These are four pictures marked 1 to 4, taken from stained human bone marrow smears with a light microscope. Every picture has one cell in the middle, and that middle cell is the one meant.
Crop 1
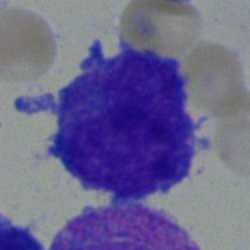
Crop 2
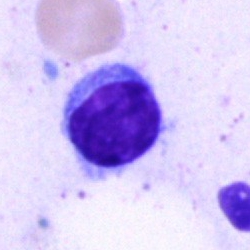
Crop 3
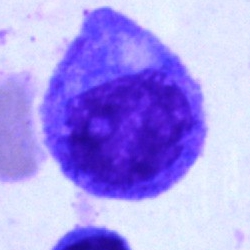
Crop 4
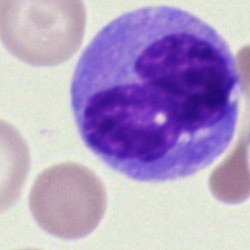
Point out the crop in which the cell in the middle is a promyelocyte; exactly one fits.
3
